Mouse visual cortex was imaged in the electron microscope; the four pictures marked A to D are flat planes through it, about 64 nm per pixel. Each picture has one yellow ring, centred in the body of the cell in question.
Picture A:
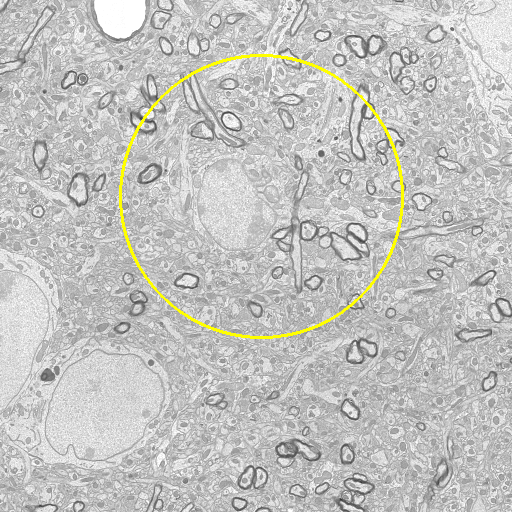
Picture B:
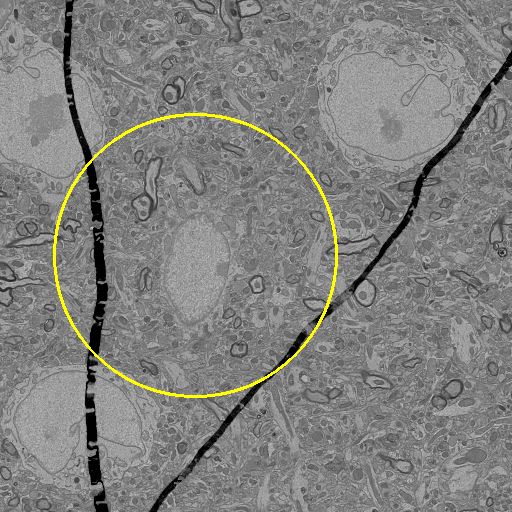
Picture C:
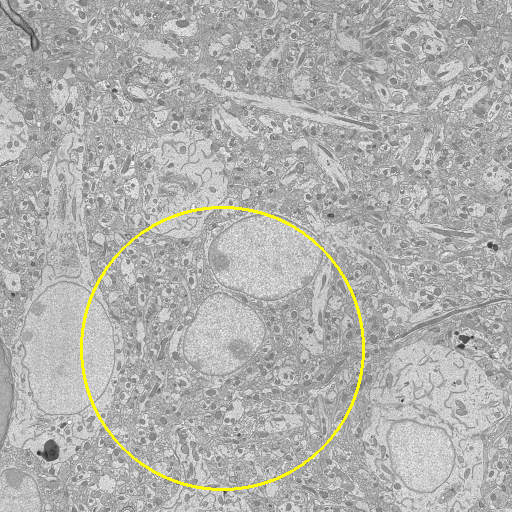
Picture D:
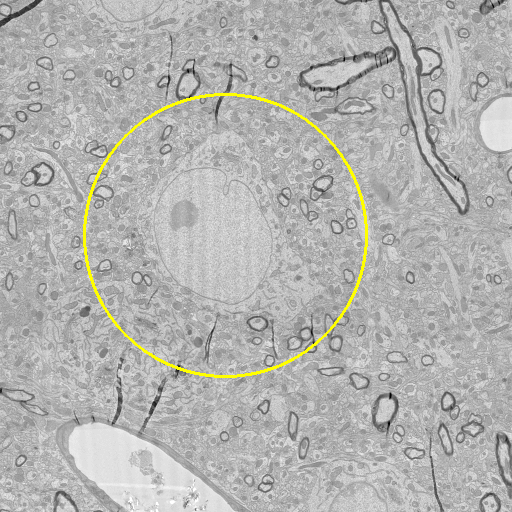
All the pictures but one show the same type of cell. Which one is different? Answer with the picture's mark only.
D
